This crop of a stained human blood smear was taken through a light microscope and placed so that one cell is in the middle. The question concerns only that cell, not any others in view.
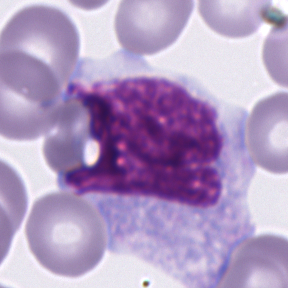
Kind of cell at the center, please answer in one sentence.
The cell under consideration, at the middle of the crop, is a monocyte.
